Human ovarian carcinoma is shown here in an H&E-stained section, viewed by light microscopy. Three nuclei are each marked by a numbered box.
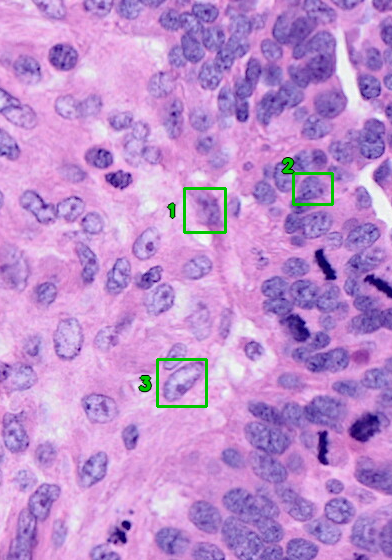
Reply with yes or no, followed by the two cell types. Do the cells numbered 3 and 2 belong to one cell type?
No, cell 3 is a fibroblast and cell 2 is a carcinoma cell.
